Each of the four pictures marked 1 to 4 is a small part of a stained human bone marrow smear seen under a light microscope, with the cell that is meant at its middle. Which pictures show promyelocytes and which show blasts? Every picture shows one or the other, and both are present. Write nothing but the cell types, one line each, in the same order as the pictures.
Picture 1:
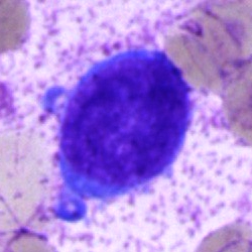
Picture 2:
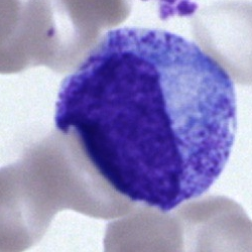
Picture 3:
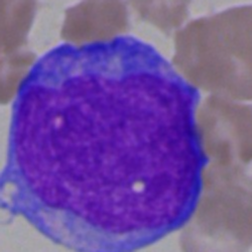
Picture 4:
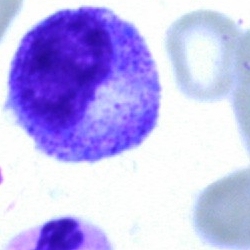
blast
promyelocyte
blast
promyelocyte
